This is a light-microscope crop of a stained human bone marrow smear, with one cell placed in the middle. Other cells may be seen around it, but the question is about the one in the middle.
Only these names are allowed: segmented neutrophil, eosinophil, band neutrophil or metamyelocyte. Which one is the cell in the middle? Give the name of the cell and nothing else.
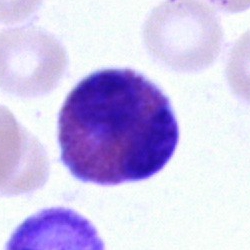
eosinophil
